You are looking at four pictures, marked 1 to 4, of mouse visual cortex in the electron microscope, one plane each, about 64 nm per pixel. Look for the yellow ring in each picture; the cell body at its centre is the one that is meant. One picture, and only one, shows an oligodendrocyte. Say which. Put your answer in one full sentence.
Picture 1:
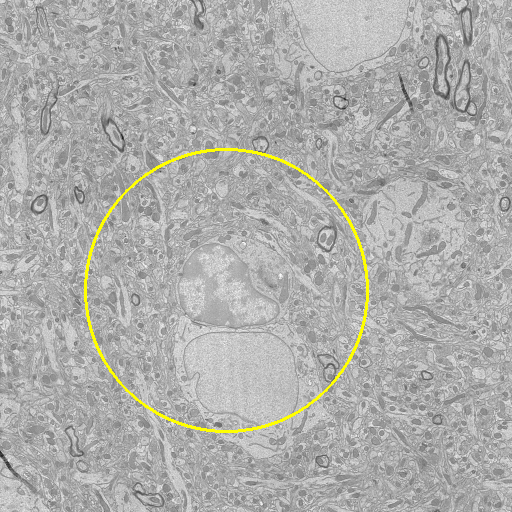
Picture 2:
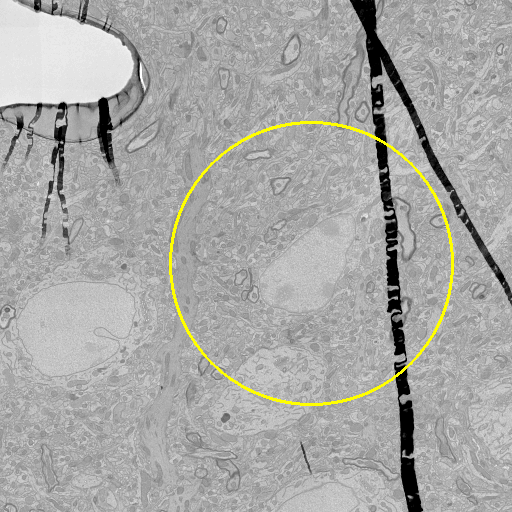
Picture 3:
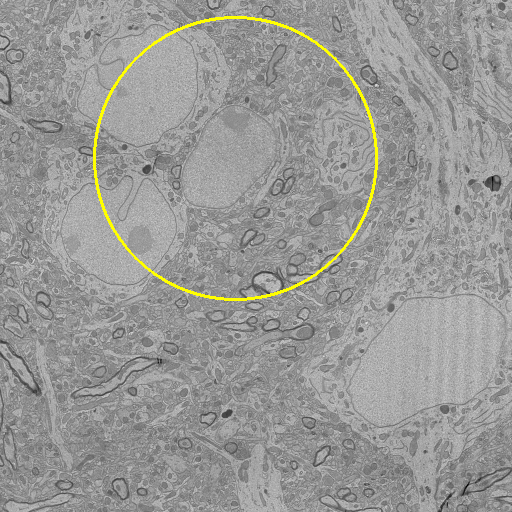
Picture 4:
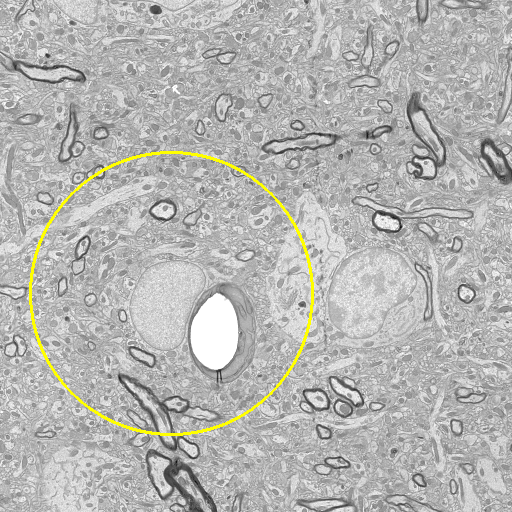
Picture 1 is the one that shows the oligodendrocyte.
